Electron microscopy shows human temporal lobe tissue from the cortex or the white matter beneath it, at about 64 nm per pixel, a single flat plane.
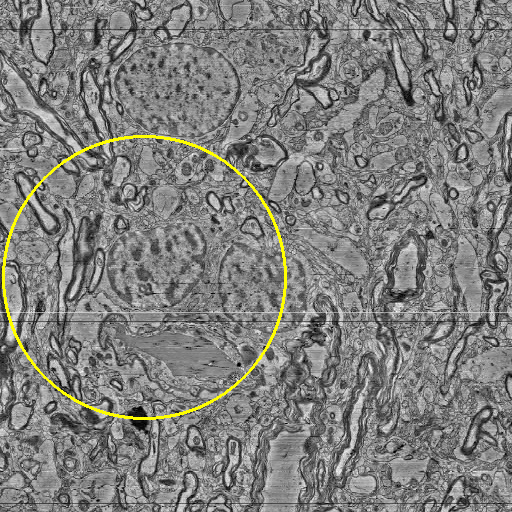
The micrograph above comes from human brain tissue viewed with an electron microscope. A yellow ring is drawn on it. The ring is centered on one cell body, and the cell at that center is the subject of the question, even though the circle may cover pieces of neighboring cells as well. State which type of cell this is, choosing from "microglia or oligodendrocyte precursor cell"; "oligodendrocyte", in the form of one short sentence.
The cell the ring is centered on is an oligodendrocyte.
